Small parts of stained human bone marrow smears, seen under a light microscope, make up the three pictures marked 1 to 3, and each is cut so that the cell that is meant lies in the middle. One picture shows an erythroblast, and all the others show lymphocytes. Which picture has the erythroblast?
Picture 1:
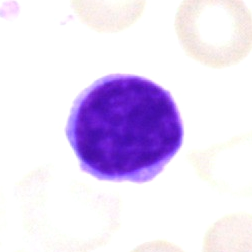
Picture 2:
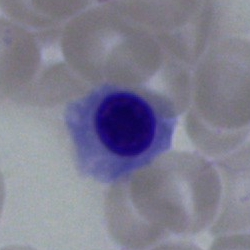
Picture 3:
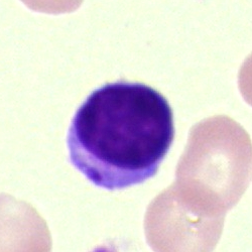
2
